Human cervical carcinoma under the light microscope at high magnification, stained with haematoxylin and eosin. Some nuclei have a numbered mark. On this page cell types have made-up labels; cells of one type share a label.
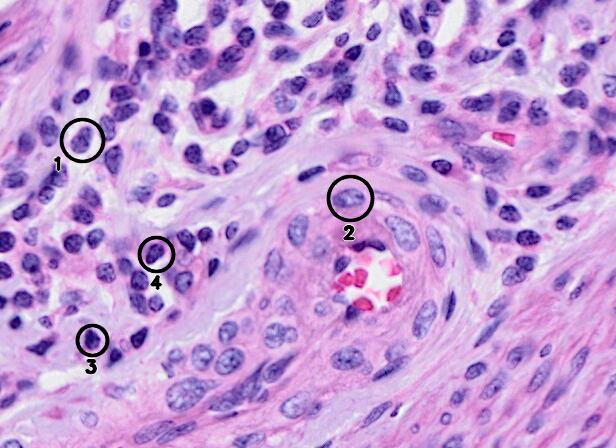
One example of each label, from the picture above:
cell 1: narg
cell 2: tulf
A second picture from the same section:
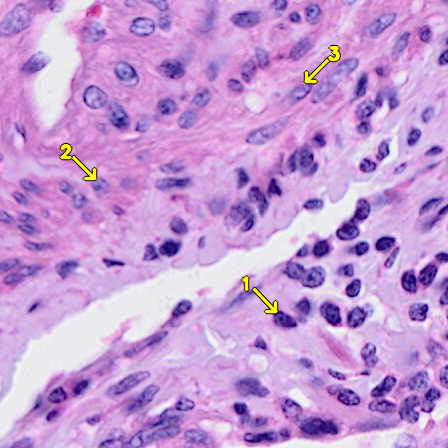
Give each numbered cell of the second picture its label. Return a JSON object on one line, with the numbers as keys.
{"1": "narg", "2": "tulf", "3": "tulf"}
